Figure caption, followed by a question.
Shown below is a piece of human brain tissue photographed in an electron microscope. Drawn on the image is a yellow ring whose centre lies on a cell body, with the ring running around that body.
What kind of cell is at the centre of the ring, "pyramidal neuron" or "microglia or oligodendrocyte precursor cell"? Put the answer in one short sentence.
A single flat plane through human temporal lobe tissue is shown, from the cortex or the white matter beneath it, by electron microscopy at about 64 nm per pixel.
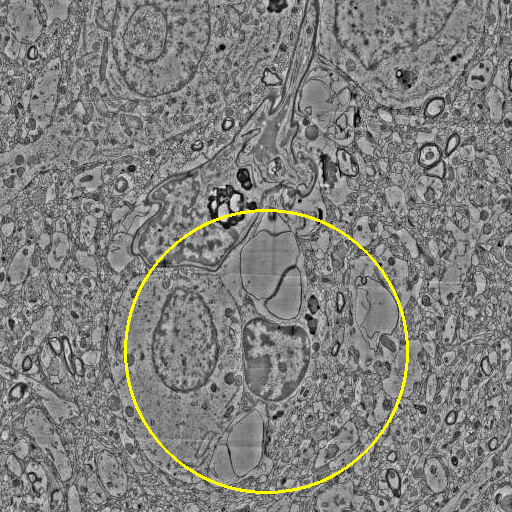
The ring marks the cell body of a microglial cell or oligodendrocyte precursor cell.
